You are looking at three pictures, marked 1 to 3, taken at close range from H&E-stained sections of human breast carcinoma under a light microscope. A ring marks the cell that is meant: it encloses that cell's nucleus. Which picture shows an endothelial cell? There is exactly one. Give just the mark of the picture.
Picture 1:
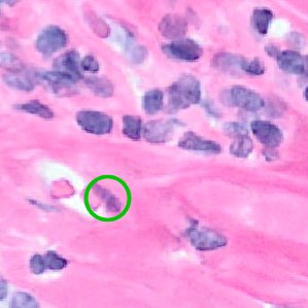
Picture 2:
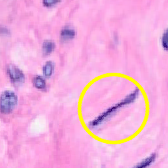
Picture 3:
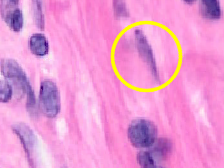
1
